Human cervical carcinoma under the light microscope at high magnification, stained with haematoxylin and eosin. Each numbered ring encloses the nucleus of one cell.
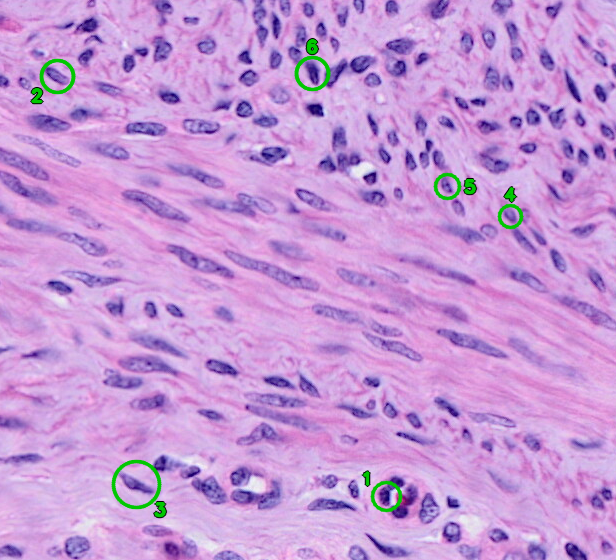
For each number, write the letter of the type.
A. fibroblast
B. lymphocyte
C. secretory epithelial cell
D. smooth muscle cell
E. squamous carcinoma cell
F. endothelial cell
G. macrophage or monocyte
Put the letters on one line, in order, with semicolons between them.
F; D; A; D; D; A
